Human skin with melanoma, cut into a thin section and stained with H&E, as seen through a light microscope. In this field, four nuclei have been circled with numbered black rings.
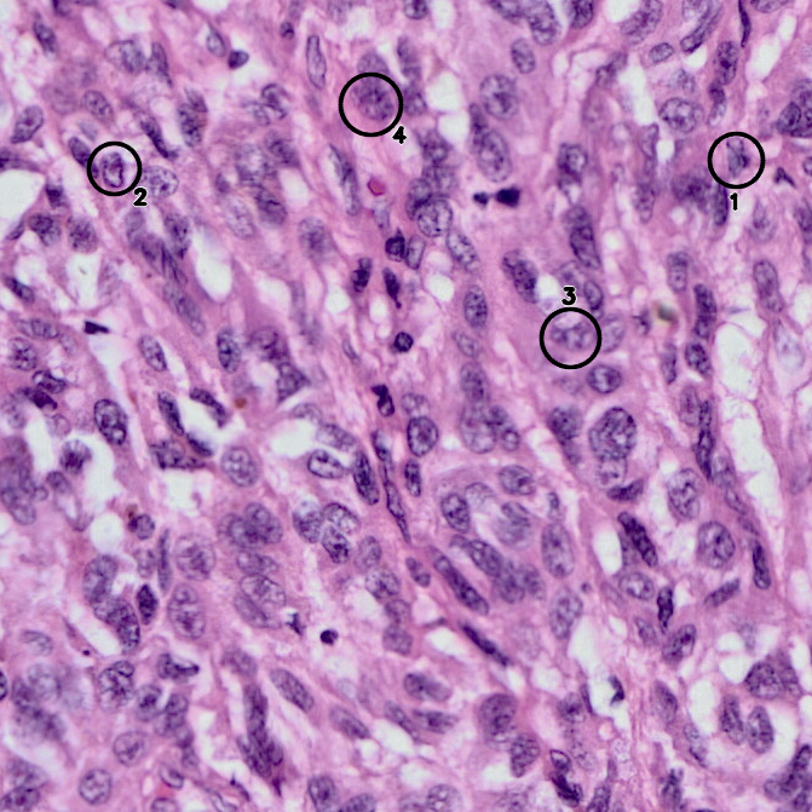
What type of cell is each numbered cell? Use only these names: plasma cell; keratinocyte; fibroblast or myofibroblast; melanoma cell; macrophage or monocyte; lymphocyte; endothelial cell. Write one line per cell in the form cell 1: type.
cell 1: macrophage or monocyte
cell 2: melanoma cell
cell 3: melanoma cell
cell 4: melanoma cell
